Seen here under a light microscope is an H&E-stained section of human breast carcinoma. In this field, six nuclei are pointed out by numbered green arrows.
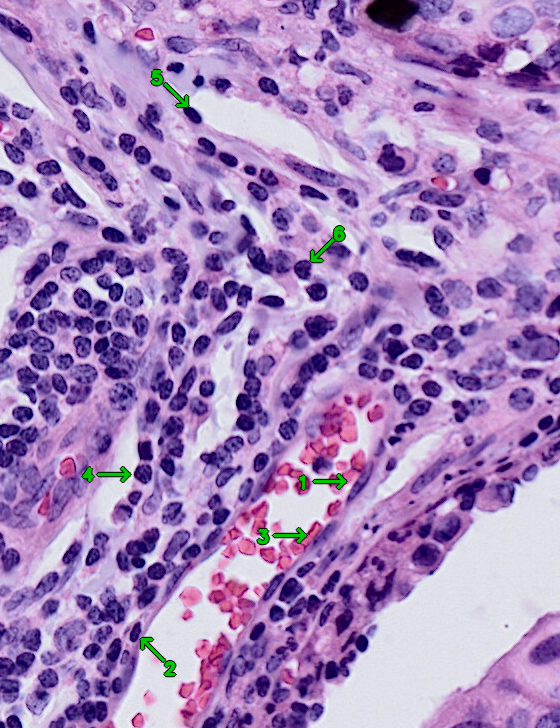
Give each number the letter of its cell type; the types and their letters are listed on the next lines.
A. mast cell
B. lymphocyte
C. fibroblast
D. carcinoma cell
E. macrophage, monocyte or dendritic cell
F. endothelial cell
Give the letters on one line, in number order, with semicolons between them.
F; B; F; B; B; B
